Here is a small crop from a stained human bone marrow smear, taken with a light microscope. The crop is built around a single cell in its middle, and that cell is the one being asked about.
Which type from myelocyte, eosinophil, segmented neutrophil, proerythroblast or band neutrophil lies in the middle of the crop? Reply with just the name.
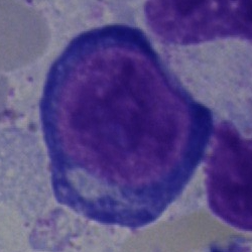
proerythroblast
